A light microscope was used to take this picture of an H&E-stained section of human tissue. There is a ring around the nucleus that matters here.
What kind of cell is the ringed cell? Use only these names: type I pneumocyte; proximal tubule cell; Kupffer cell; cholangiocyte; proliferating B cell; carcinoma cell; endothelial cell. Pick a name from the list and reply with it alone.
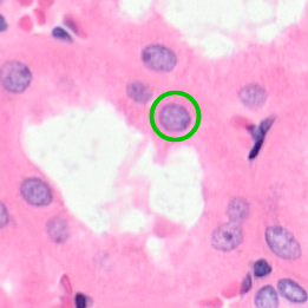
proximal tubule cell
